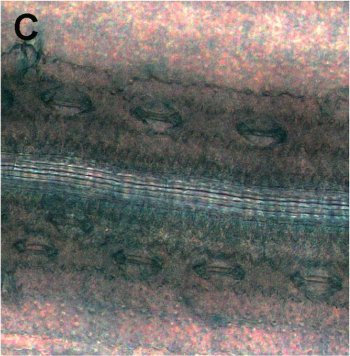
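A leaf surface seen from above shows rows of small paired, elongated cells, each pair enclosing a narrow slit, spaced regularly along files on either side of a central strand with fine parallel lengthwise striations. The paired cells are darkly outlined against the reddish-brown background of the surrounding epidermal cells. These are guard cells of stomata arranged in rows alongside a leaf vein.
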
